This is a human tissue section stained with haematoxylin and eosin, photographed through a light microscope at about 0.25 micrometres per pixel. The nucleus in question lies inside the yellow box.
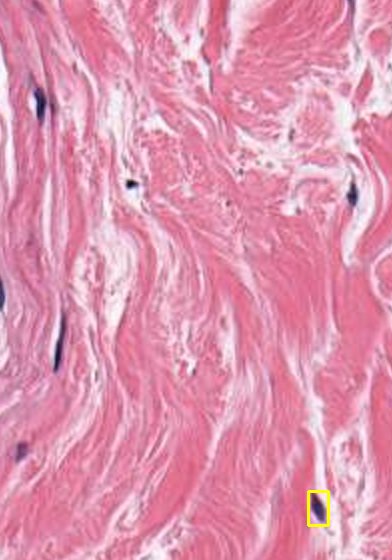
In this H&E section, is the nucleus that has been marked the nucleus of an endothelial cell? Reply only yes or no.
no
